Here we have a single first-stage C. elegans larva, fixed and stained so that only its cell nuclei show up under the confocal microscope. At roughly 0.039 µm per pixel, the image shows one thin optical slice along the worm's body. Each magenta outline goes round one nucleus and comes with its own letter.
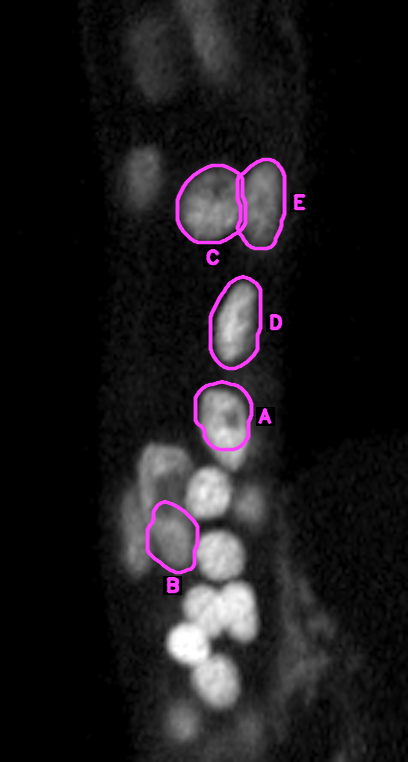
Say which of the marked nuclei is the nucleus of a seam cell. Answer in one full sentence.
The nucleus of a seam cell is C.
